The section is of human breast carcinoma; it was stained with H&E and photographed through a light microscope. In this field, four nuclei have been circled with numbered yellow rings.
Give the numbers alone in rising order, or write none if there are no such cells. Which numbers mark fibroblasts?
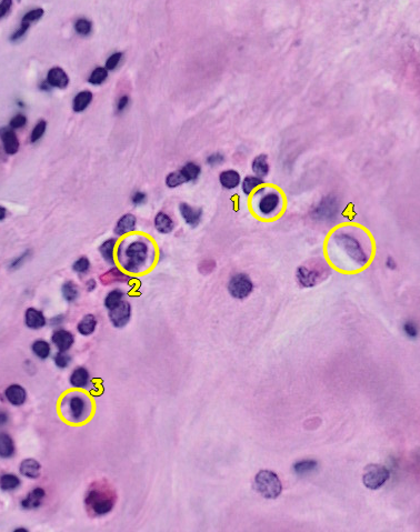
4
